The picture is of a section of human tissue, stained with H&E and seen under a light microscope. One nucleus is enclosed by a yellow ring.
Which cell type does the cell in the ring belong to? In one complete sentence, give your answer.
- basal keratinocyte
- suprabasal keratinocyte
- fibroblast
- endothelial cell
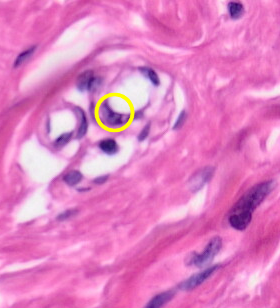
The classification of the cell in the ring is as an endothelial cell.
